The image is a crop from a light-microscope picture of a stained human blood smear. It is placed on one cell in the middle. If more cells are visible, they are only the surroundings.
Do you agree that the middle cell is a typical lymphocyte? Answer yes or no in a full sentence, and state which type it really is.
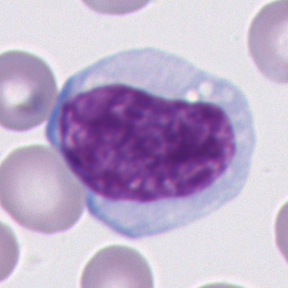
No, not a typical lymphocyte here; the centered cell is a myeloblast.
